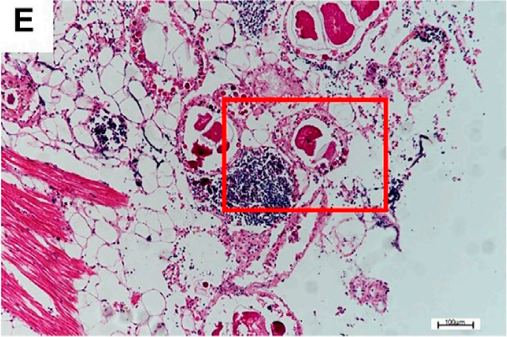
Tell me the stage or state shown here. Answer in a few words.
Hermaphrodite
